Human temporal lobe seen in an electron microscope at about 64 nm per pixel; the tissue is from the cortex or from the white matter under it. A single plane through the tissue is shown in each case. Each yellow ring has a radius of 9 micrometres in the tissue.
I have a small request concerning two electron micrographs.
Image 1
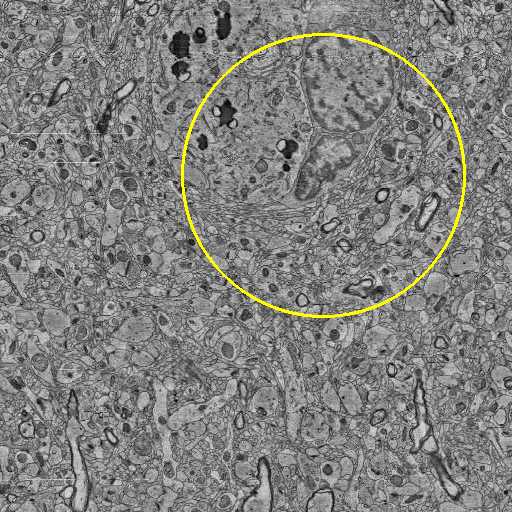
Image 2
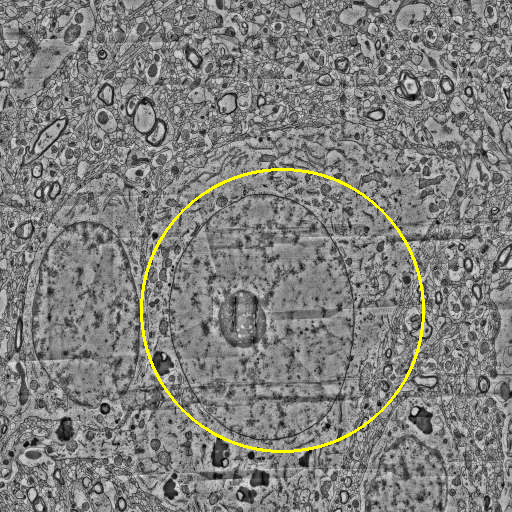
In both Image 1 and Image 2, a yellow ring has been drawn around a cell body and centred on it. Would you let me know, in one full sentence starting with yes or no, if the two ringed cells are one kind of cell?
No, the cells ringed in Image 1 and Image 2 are two kinds of cell.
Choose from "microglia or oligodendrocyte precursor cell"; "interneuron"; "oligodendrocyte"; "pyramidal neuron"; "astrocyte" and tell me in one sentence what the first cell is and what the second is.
What the first ring is centred on is an oligodendrocyte; what the second ring is centred on is a pyramidal neuron.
